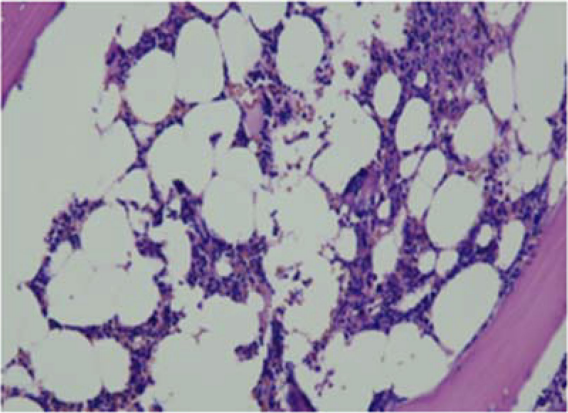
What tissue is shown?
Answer: Bone marrow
